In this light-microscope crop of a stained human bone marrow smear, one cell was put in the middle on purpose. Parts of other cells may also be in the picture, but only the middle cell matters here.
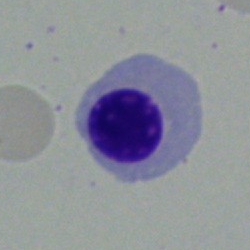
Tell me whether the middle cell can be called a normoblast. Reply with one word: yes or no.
yes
